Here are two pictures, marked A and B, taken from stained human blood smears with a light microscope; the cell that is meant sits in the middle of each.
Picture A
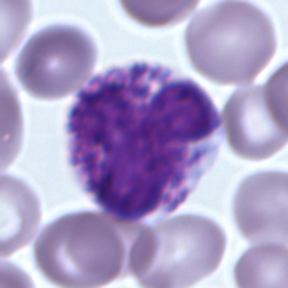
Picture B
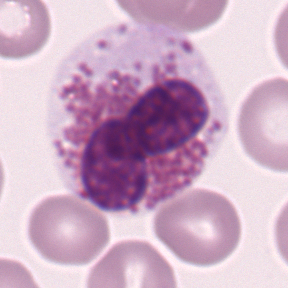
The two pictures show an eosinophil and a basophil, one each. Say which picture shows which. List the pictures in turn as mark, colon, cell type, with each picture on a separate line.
A: basophil
B: eosinophil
